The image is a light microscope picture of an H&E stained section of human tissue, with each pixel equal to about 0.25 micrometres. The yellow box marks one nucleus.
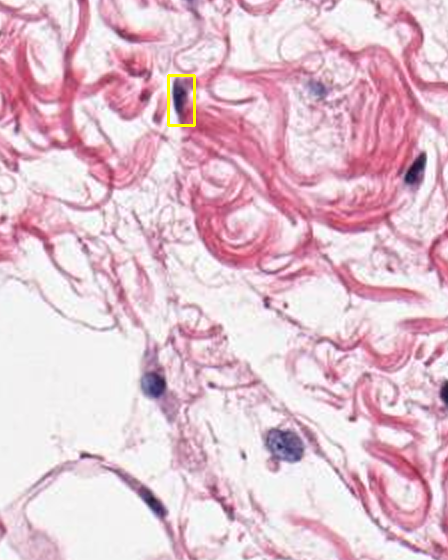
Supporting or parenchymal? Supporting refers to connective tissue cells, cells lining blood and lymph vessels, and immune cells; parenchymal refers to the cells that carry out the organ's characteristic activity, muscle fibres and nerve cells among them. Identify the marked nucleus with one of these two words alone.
supporting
